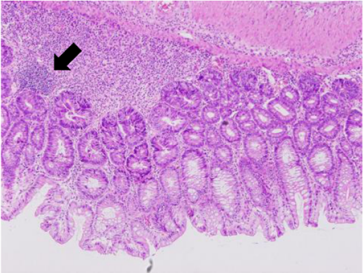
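This colon section shows crypts of the mucosa with a focal collection of inflammatory cells above them. The crypts appear as rounded and oval glandular profiles lined by purple epithelial cells around small lumens, packed side by side across the lower part of the field. Between the crypts and the pink muscular layer at the top lies a zone crowded with small dark nuclei, densest at one side, spreading into the connective tissue. The muscle layer is pink and fibrous. The inflammatory focus is smaller and less destructive than a diffuse infiltrate, and most crypts remain recognisable.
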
